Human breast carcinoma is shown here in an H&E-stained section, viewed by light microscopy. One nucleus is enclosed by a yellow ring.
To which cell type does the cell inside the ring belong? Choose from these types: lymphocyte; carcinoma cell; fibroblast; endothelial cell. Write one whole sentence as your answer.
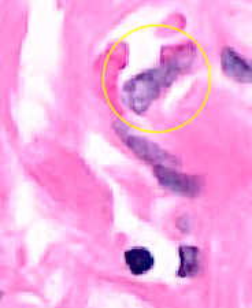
The cell meant here is an endothelial cell.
